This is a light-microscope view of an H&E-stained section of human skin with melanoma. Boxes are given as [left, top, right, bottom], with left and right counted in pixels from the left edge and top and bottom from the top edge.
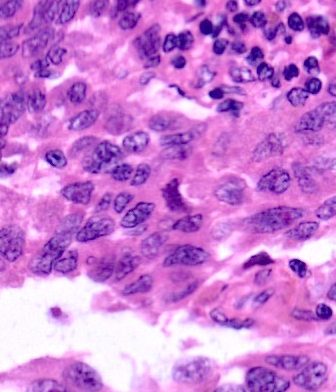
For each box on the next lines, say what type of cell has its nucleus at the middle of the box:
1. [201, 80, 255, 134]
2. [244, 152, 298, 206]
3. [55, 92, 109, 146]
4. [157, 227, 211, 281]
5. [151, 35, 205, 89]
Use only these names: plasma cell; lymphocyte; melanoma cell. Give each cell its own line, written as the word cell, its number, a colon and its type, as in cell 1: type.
cell 1: lymphocyte
cell 2: melanoma cell
cell 3: melanoma cell
cell 4: melanoma cell
cell 5: lymphocyte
